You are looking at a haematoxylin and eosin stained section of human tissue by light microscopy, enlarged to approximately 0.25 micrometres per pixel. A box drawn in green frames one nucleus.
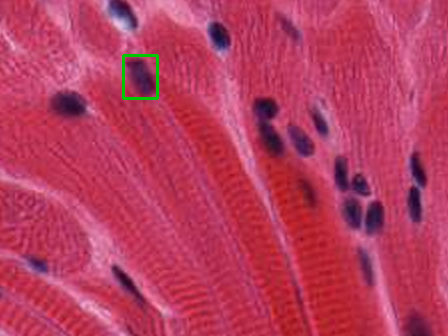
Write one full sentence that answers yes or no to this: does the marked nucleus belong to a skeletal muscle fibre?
Yes, the marked nucleus is a part of a skeletal muscle fibre.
